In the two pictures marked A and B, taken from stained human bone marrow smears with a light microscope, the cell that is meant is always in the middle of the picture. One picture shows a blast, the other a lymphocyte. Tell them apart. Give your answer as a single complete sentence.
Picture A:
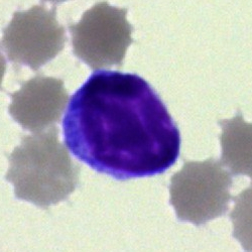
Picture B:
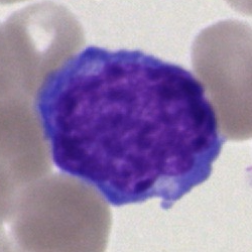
The cell in picture A is a lymphocyte, and the one in picture B is a blast.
